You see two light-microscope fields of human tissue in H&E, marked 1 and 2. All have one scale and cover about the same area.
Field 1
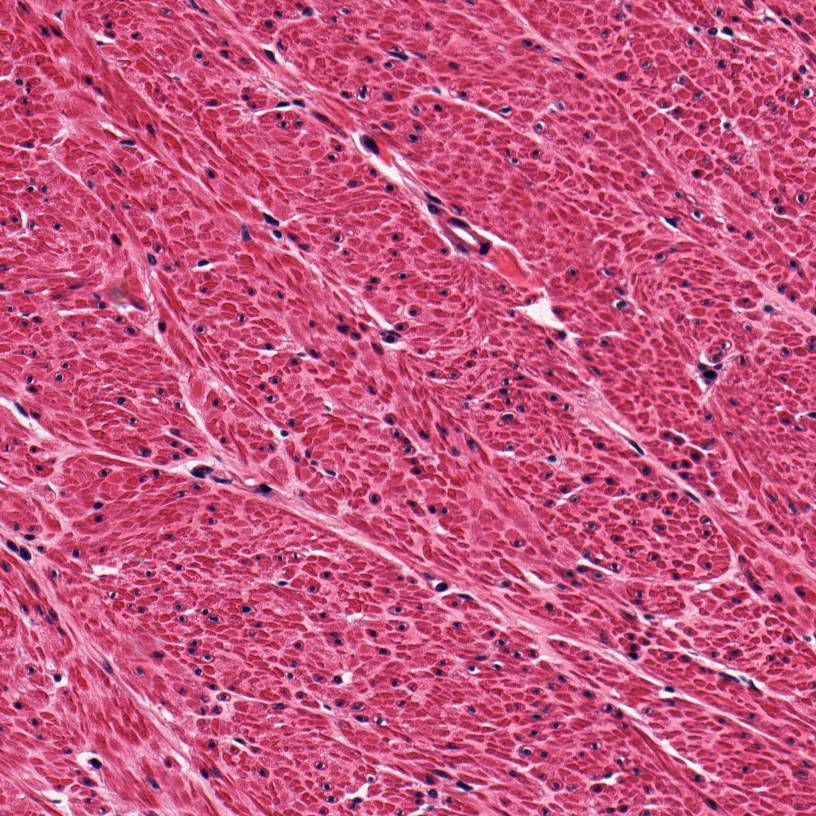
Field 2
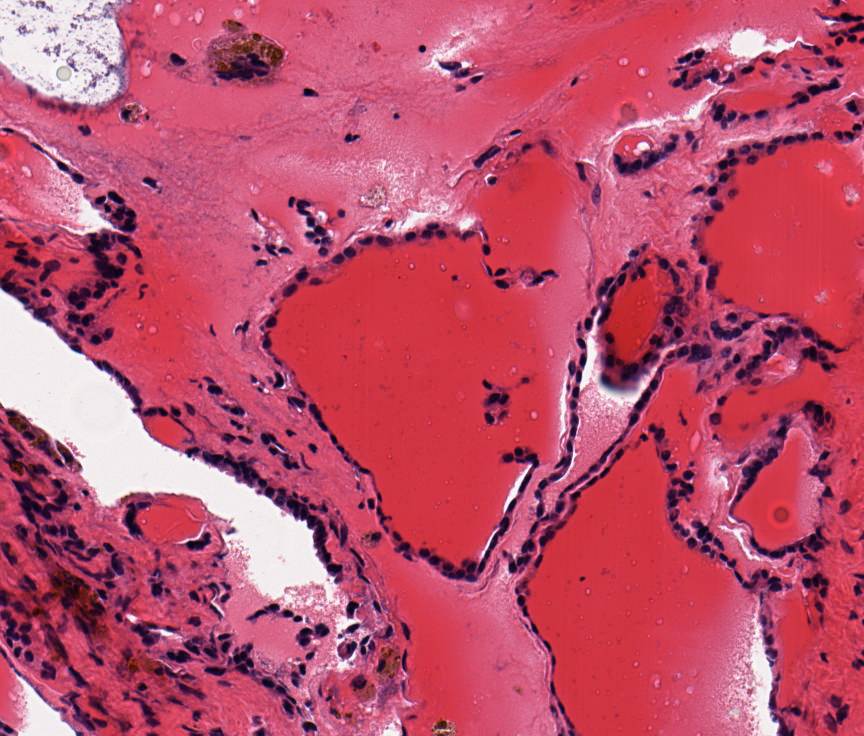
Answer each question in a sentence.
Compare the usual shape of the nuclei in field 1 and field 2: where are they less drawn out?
It is field 1 whose nuclei are the rounder.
